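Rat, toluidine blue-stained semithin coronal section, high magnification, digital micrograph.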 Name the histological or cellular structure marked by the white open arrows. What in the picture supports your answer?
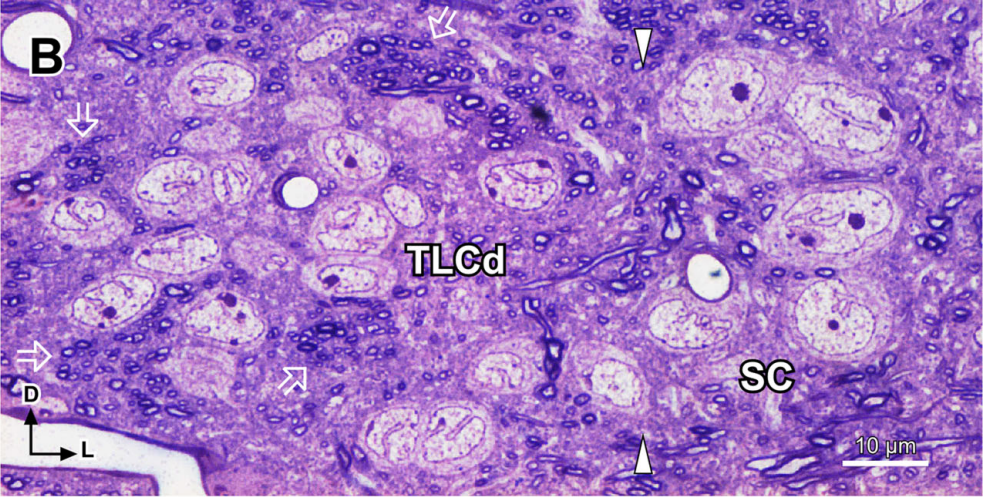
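Bundles of predominantly thin myelinated axons. Near the open arrows, many small dark-blue rings are clustered together. The rings have pale centres and are much smaller than the cell bodies.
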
